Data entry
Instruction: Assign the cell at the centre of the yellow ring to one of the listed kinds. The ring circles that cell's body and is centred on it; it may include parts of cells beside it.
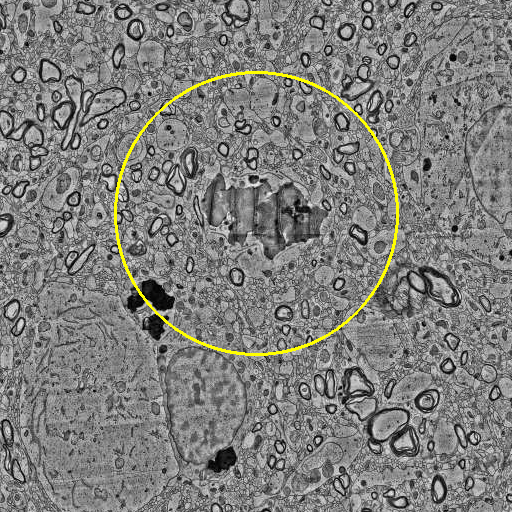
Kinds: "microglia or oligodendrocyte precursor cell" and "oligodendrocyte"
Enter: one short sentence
The centre of the ring falls on a microglial cell or oligodendrocyte precursor cell.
